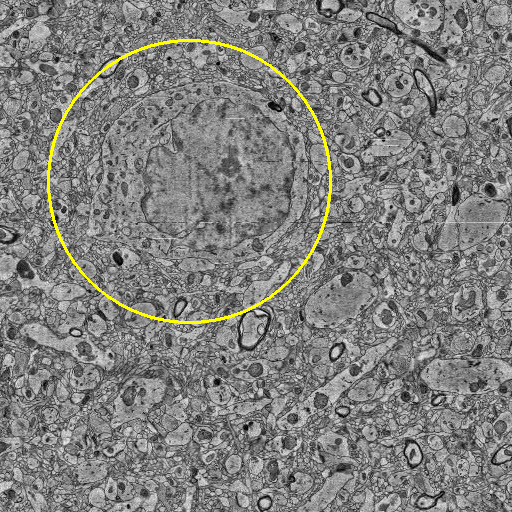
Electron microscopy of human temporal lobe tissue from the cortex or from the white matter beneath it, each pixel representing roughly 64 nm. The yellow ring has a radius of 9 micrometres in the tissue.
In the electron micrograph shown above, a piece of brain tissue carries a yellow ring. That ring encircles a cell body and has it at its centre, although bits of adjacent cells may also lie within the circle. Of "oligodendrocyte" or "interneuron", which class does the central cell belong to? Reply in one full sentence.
The cell body at the centre of the yellow ring belongs to an interneuron.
